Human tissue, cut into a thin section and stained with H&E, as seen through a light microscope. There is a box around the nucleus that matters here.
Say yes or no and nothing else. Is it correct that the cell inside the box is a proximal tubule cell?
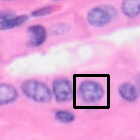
no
